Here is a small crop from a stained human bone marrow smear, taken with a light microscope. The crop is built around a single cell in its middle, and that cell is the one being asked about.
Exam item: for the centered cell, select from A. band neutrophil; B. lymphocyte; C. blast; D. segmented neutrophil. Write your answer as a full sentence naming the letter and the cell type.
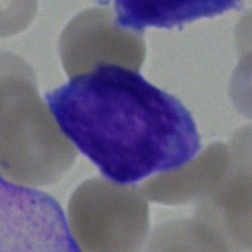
According to option C, which is correct, the cell in the middle is a blast.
